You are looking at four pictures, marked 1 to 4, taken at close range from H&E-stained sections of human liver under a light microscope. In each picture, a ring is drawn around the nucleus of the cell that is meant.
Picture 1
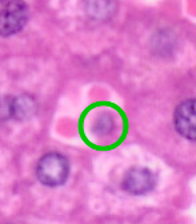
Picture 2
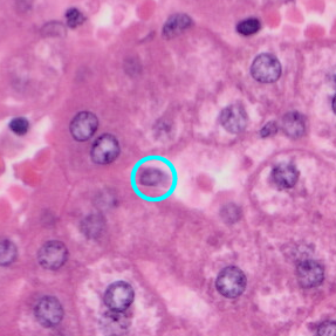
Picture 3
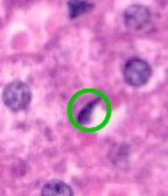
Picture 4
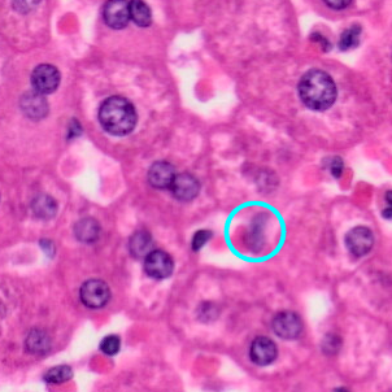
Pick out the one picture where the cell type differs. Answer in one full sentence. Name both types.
Picture 3 is the odd one out: it shows an endothelial cell, while the others show Kupffer cells.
